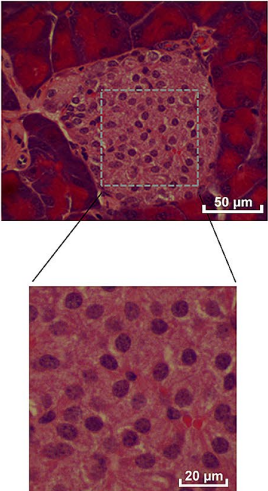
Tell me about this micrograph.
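Here we see a pancreatic islet, a rounded nest of endocrine cells lying within the surrounding exocrine tissue. The islet stands out because its cells stain pale pink, while the cells around it are a deeper red-purple. Inside the islet the cells are small and closely packed, each with a round, purple nucleus and a modest rim of pale cytoplasm. In the enlargement below you can see the nuclei are fairly even in size and evenly spaced, and a few small red spots between the cells are red blood cells in fine capillaries. Thin pale strands separate the islet from the neighbouring glandular cells.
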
